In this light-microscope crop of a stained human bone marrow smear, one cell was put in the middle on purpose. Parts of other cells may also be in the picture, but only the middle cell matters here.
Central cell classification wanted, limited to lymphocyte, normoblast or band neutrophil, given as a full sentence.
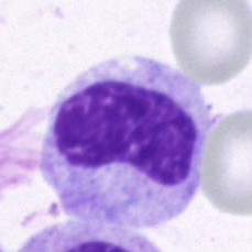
The cell centered in this field of view is a band neutrophil.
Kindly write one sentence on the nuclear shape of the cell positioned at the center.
A single compact nucleus, round, oval or kidney-shaped, is what this cell shows.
